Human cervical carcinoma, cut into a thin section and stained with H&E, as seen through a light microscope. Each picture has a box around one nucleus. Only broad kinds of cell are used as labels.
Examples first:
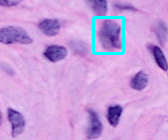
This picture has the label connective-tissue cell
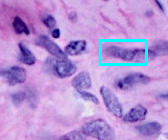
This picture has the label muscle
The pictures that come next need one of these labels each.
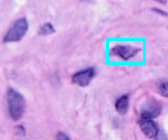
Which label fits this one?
connective-tissue cell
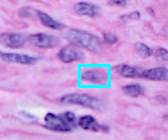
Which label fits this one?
muscle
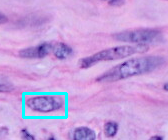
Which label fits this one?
muscle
